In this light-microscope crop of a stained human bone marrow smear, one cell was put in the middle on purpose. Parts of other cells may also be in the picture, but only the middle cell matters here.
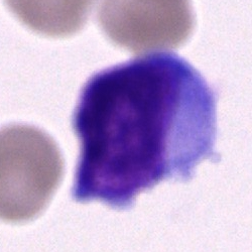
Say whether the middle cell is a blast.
yes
